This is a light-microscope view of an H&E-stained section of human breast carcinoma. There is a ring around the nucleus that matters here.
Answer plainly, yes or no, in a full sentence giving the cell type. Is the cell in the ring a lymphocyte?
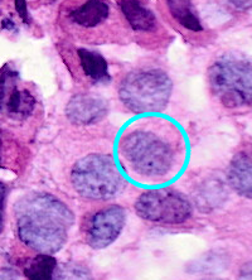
No, the correct identification of the cell in the ring is a carcinoma cell, not a lymphocyte.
